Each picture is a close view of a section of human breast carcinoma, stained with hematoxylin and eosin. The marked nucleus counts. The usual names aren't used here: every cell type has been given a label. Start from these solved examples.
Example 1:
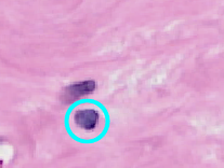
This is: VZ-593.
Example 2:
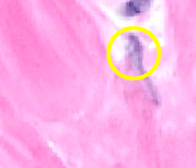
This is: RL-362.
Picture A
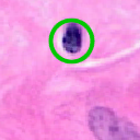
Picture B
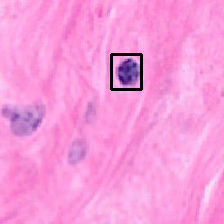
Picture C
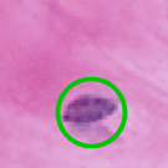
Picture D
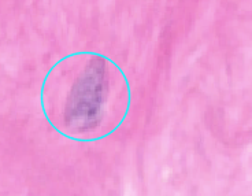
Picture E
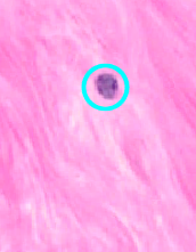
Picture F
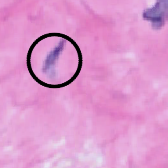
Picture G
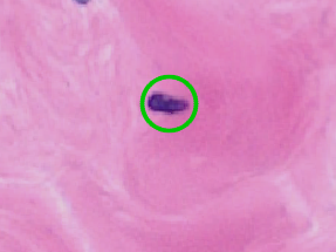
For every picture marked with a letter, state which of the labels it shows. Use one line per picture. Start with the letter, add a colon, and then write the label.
A: VZ-593.
B: VZ-593.
C: RL-362.
D: RL-362.
E: VZ-593.
F: RL-362.
G: VZ-593.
